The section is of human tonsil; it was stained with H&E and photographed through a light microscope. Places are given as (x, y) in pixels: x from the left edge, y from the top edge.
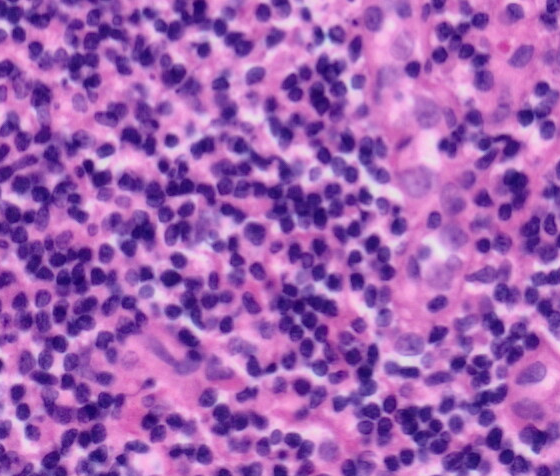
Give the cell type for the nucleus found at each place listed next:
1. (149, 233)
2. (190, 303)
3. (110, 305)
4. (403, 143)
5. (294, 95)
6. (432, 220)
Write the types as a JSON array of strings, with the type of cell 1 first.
["small lymphocyte", "small lymphocyte", "small lymphocyte", "endothelial cell", "small lymphocyte", "endothelial cell"]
